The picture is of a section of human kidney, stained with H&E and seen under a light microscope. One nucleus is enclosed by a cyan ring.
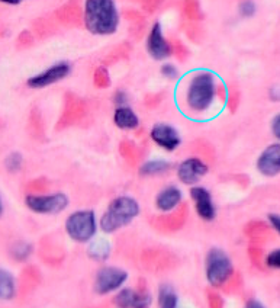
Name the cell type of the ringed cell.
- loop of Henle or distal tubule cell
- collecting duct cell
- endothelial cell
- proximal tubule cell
endothelial cell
